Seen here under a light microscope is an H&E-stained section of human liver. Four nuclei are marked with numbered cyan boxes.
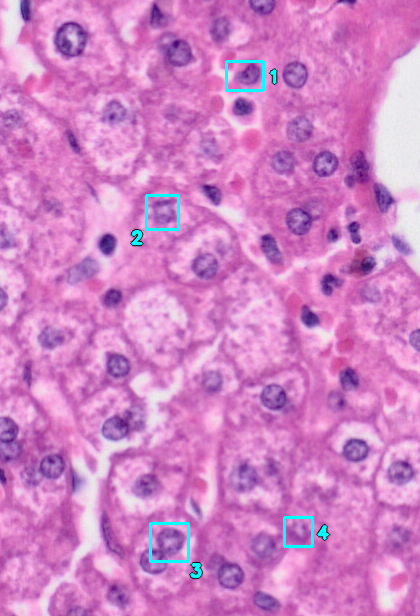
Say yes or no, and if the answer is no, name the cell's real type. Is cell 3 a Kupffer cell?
No, it is a hepatocyte.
